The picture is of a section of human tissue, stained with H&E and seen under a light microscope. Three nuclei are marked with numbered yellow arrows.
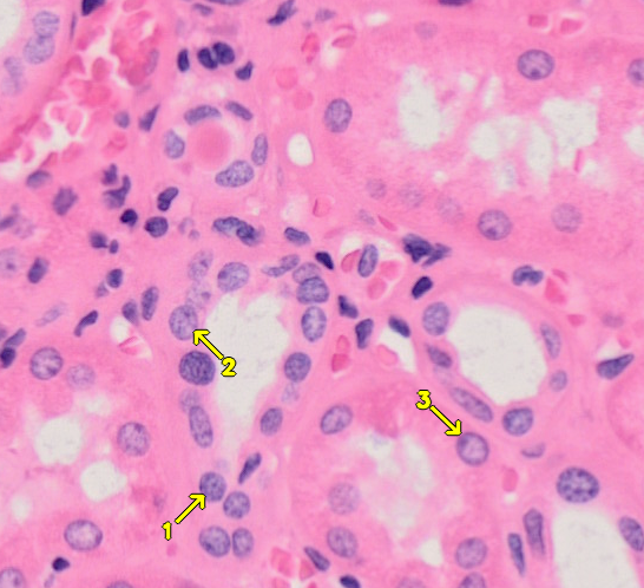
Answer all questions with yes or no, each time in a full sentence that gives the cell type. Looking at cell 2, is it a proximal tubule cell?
No, the identification of cell 2 as a proximal tubule cell is incorrect; it is a collecting duct cell.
